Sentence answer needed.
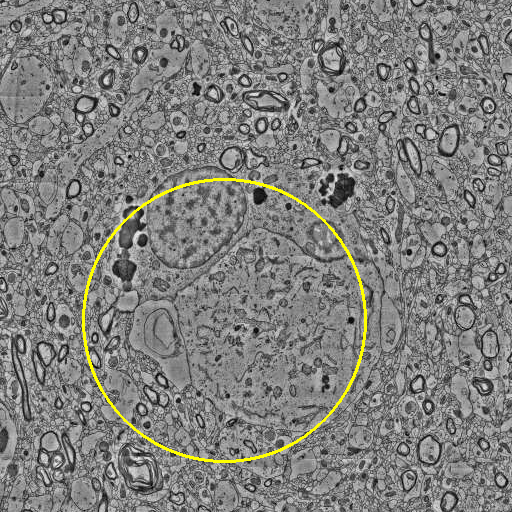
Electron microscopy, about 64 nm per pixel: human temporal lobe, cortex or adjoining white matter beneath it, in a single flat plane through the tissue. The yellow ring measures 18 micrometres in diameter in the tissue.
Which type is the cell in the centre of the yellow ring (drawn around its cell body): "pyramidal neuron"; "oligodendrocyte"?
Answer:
In the centre of the yellow ring is an oligodendrocyte.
